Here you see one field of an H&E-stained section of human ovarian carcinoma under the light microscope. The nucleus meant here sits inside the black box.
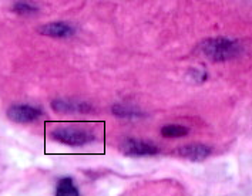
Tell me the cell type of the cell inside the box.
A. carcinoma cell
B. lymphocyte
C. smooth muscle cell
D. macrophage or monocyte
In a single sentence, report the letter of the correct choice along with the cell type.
Here the right answer is C, with the cell inside the box being a smooth muscle cell.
